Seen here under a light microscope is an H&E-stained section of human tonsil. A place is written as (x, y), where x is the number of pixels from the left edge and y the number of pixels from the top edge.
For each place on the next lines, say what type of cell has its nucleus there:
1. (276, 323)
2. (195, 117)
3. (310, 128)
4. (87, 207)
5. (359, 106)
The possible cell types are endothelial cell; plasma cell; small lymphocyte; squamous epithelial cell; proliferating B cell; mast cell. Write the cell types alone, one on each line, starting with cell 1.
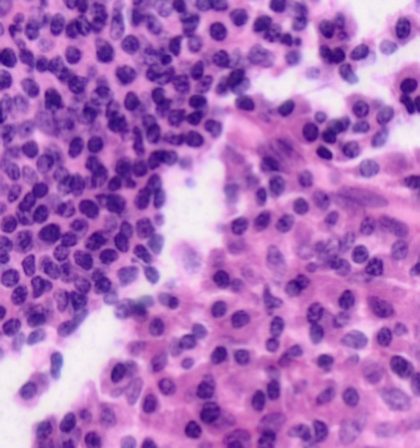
plasma cell
small lymphocyte
plasma cell
small lymphocyte
plasma cell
